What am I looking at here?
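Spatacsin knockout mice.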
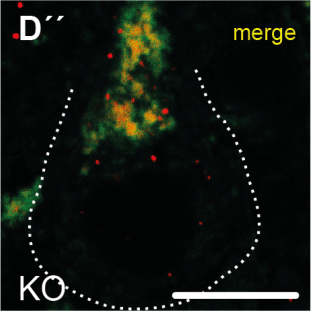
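A Purkinje cell soma is outlined, rounded below and narrowing upward into a thick stem where the main dendrite leaves. The lower part of the soma is dark, fitting a large nucleus, and carries little signal. At the apex of the cell and extending up into the dendrite stem lies a large, granular, cloud-like accumulation of material that is green and red at once, appearing yellow-orange where the two overlap. A few isolated red dots lie elsewhere, and a smaller green patch sits at the lower left edge outside the outlined soma.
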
